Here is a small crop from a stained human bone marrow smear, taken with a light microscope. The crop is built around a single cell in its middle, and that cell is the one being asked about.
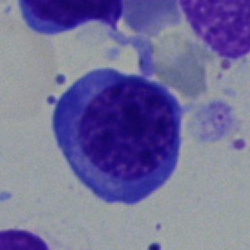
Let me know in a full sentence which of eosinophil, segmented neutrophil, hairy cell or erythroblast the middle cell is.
In this smear crop, the middle cell is an erythroblast.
